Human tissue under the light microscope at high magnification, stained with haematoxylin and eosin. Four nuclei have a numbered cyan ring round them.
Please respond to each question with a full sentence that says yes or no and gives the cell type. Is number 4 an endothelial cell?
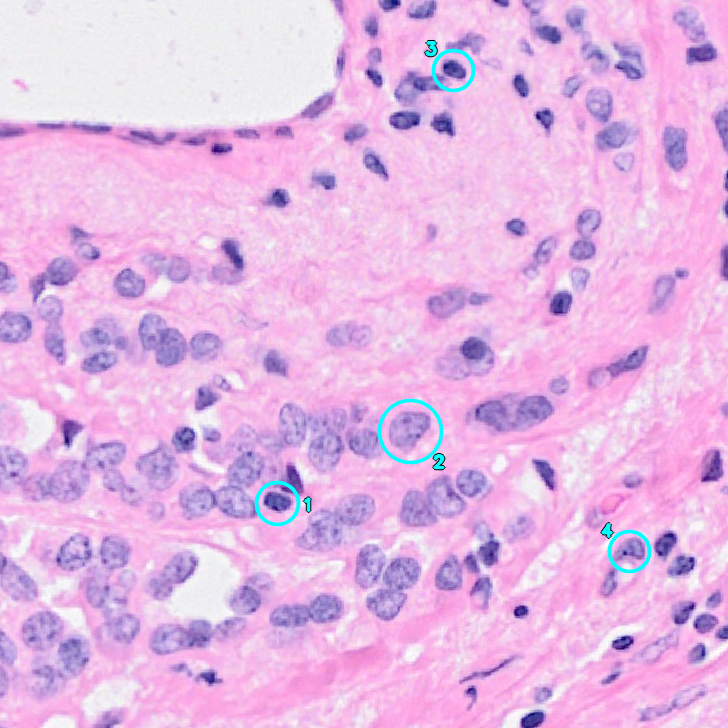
Yes, among the marked cells, the one with number 4 is an endothelial cell.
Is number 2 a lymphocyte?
No, as for cell 2, it is a carcinoma cell and not a lymphocyte.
